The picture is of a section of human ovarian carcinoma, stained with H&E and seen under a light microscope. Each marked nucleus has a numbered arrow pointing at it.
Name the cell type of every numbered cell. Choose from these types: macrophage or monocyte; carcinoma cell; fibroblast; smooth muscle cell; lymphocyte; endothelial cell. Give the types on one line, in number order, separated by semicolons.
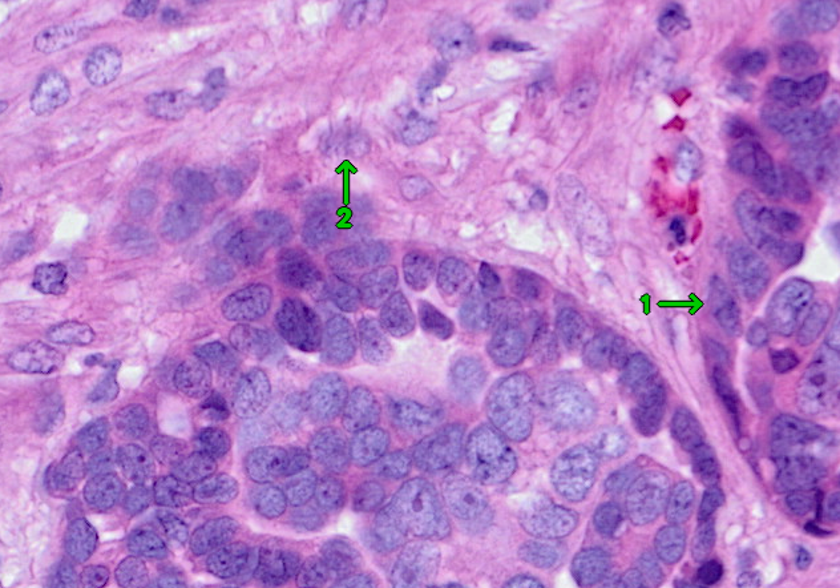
carcinoma cell; fibroblast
